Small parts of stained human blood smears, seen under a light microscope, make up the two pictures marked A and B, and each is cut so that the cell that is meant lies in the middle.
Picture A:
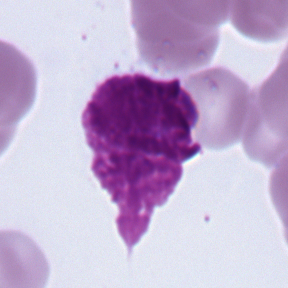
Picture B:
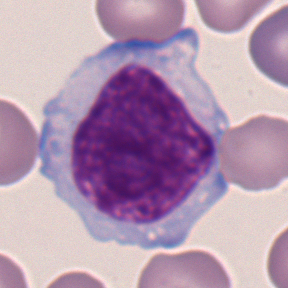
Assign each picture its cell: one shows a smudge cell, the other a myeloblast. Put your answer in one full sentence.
Picture B shows a myeloblast, while picture A shows a smudge cell.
